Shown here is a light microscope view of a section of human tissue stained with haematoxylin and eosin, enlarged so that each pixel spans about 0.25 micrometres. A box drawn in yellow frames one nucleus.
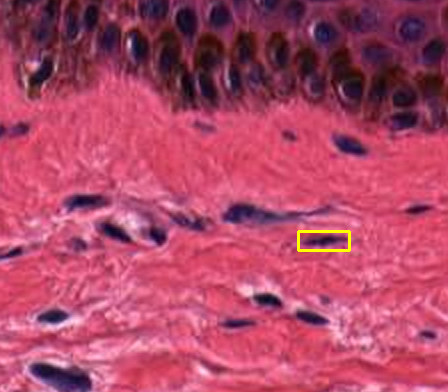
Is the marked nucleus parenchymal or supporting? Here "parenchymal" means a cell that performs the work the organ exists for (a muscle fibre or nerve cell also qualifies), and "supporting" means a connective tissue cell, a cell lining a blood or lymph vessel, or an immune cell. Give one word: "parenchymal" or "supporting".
supporting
